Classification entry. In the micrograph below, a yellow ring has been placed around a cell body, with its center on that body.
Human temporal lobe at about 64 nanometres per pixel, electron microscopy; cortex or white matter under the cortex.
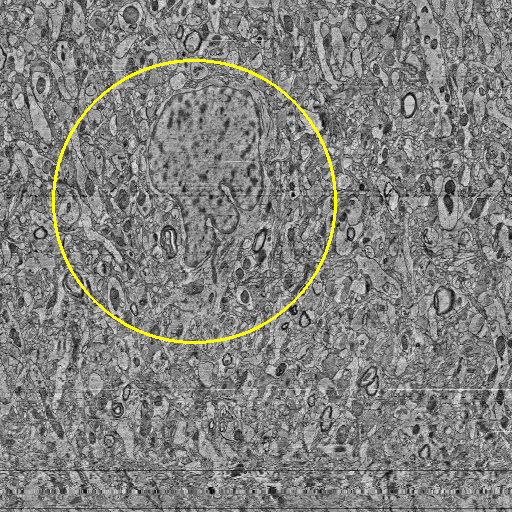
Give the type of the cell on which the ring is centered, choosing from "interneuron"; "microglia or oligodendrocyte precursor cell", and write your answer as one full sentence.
The cell body at the center of the yellow ring belongs to a microglial cell or oligodendrocyte precursor cell.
